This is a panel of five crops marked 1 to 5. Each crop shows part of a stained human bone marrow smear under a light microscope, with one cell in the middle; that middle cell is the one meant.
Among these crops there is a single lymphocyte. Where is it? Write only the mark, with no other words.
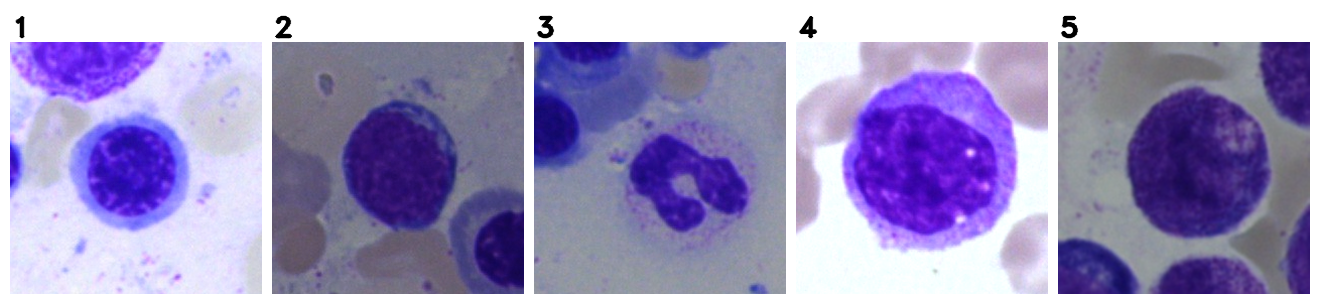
2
